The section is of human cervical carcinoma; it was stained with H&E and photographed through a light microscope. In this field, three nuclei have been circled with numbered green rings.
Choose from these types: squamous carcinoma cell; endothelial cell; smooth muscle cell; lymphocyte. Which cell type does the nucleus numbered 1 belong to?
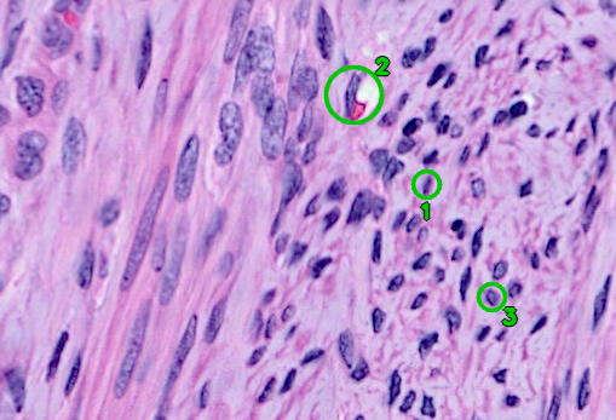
smooth muscle cell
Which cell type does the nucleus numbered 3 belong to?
smooth muscle cell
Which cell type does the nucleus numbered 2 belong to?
endothelial cell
